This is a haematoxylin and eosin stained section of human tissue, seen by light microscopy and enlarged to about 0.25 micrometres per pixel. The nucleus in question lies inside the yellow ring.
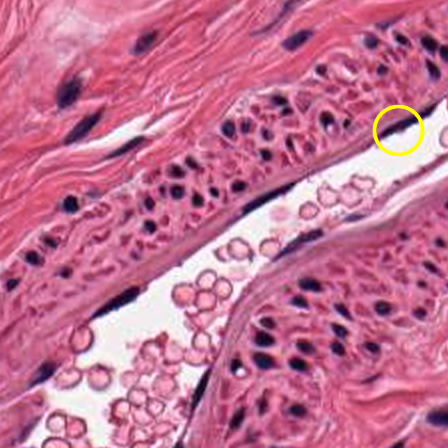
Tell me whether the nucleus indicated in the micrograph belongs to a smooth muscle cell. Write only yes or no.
no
